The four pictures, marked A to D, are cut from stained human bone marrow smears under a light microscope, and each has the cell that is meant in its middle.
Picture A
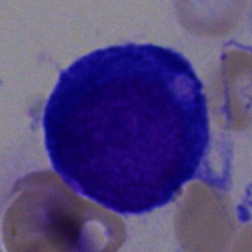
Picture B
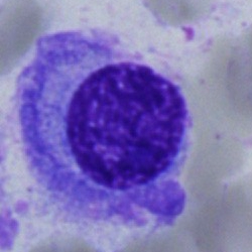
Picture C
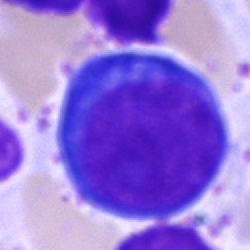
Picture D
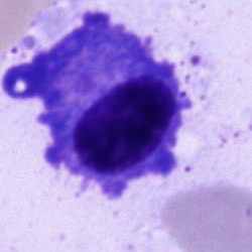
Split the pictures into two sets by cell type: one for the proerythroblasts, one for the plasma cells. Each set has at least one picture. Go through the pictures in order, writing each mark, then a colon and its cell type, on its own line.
A: proerythroblast
B: plasma cell
C: proerythroblast
D: plasma cell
